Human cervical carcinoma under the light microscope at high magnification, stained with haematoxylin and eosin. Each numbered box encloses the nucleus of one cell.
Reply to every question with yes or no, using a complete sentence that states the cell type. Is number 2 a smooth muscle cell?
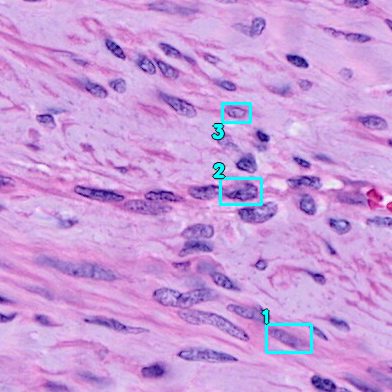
No, what is marked as number 2 is an endothelial cell rather than a smooth muscle cell.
